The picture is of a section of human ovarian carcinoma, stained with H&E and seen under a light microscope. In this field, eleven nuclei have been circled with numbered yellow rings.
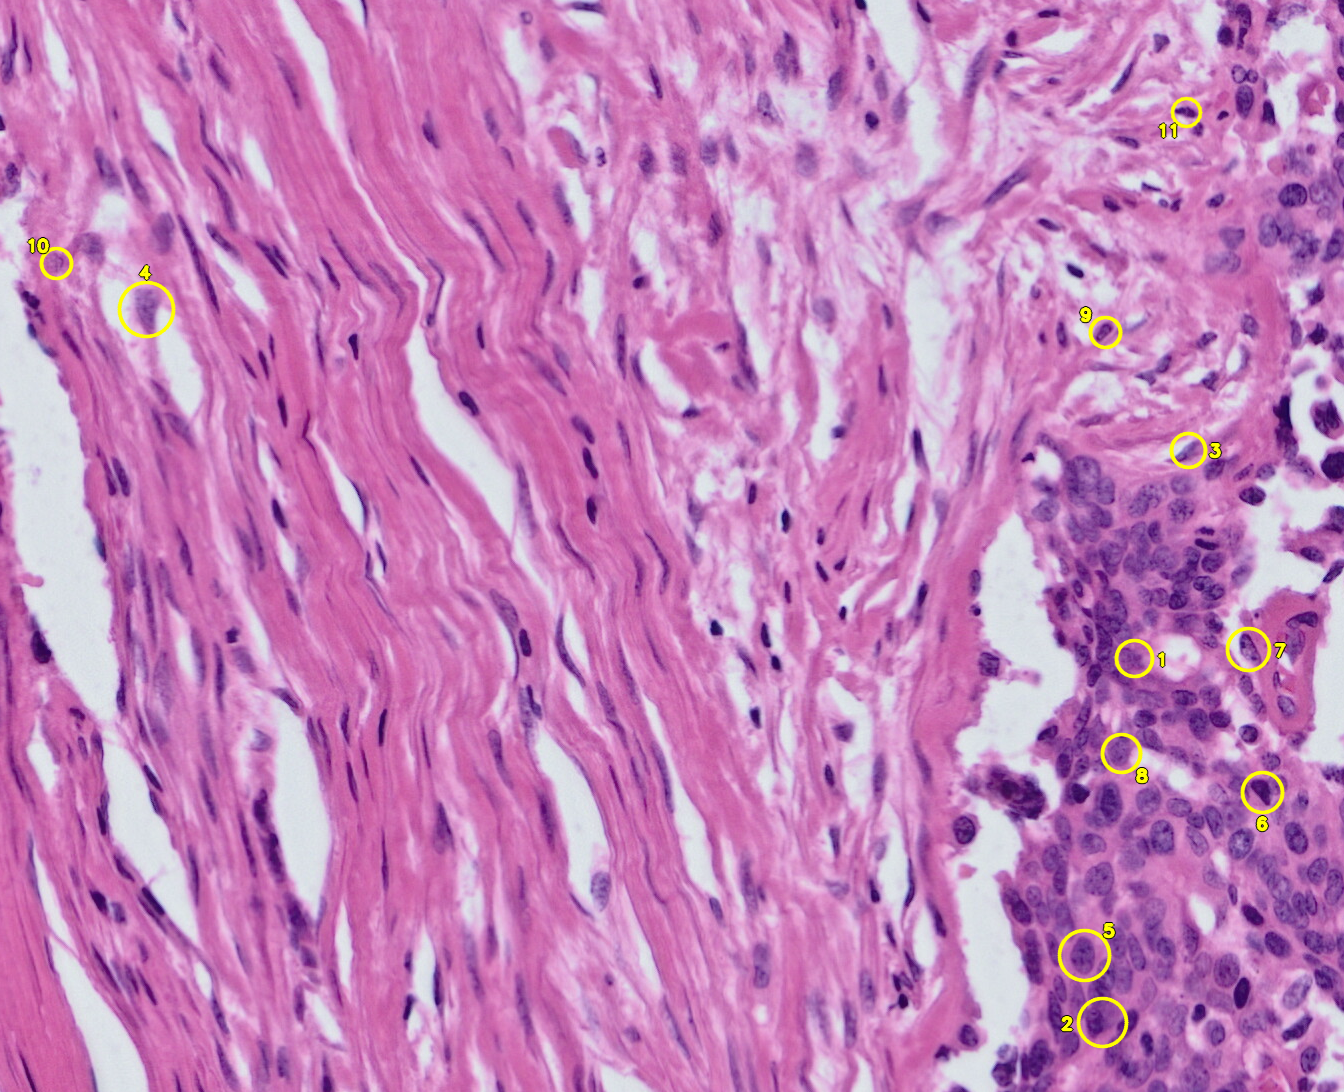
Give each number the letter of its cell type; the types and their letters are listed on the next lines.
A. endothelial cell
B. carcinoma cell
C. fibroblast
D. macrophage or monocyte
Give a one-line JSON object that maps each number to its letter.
{"1": "B", "2": "B", "3": "C", "4": "C", "5": "B", "6": "B", "7": "D", "8": "B", "9": "C", "10": "C", "11": "C"}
